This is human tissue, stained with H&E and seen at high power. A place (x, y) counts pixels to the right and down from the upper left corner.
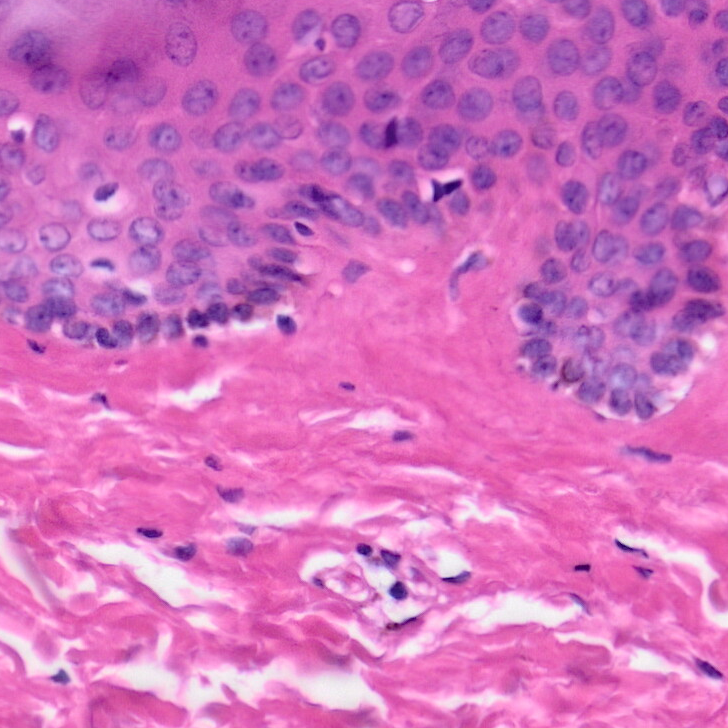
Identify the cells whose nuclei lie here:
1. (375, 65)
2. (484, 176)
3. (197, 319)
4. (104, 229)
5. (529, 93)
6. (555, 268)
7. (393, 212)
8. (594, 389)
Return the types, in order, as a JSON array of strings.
["suprabasal keratinocyte", "basal keratinocyte", "basal keratinocyte", "suprabasal keratinocyte", "suprabasal keratinocyte", "basal keratinocyte", "basal keratinocyte", "basal keratinocyte"]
